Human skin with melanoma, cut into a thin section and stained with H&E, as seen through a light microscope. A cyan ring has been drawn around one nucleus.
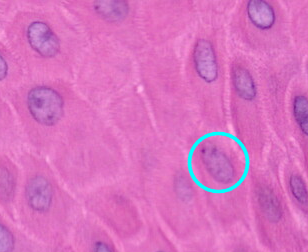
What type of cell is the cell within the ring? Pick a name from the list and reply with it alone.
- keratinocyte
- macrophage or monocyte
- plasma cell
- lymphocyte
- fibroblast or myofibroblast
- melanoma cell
keratinocyte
